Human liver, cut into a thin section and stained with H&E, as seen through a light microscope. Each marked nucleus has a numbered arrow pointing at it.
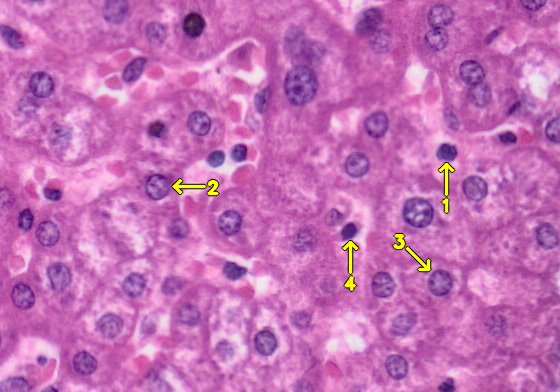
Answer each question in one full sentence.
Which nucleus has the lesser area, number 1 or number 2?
With nucleus 2 about 1.5 times its size, nucleus 1 is the smaller of the two.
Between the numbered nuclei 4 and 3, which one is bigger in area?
Nucleus 3 is larger, with an area about 2 times that of nucleus 4.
